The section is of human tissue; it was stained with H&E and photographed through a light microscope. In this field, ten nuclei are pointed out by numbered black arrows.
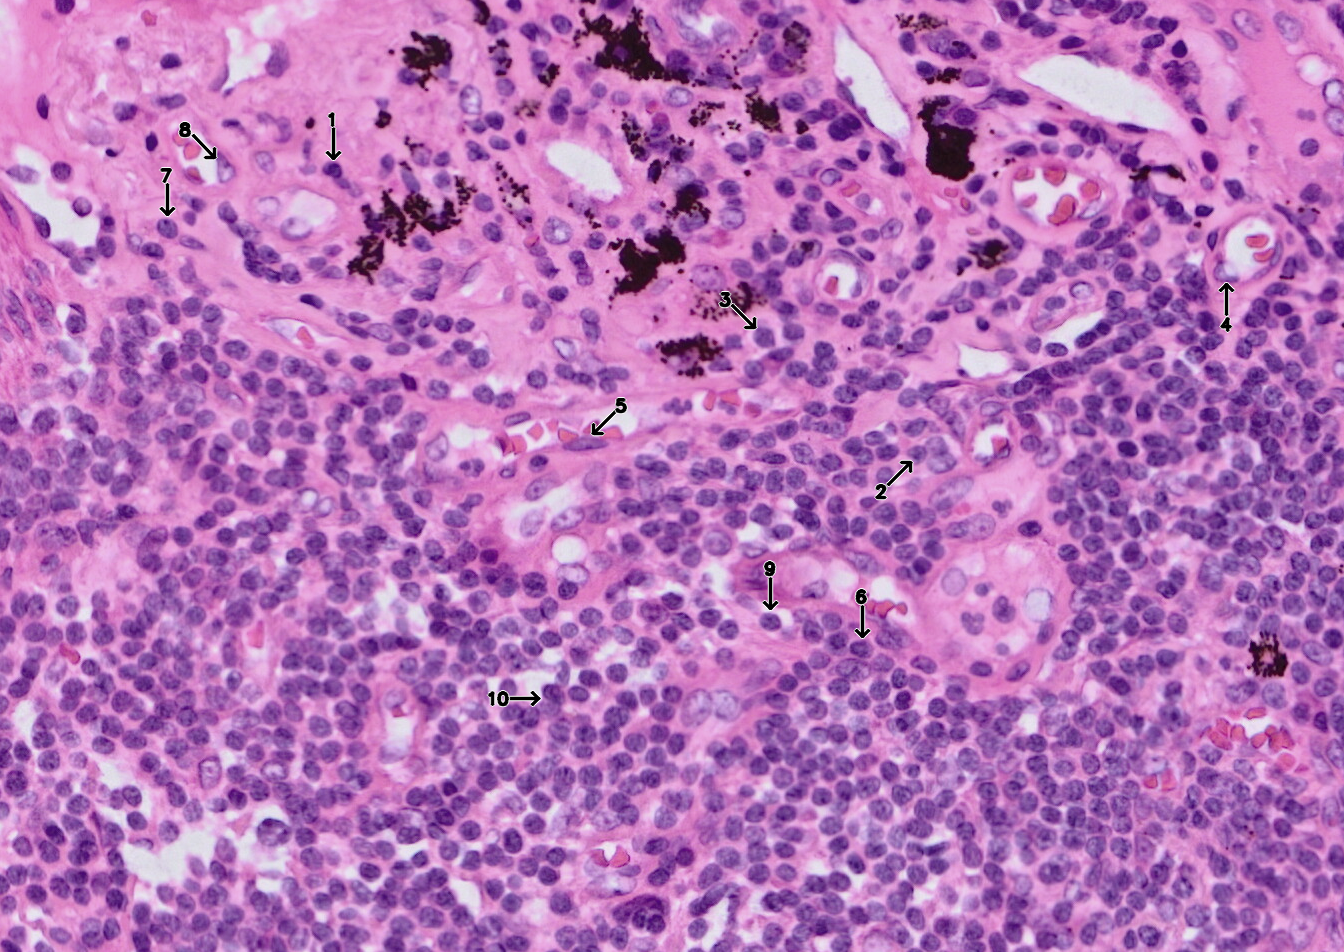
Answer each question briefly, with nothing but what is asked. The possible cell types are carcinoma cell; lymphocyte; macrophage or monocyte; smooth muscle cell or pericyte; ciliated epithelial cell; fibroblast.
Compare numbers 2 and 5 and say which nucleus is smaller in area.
2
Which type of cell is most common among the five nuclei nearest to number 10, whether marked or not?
lymphocyte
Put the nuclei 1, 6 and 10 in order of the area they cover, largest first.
10, 6, 1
